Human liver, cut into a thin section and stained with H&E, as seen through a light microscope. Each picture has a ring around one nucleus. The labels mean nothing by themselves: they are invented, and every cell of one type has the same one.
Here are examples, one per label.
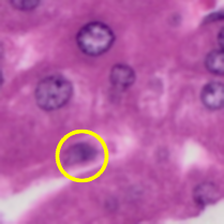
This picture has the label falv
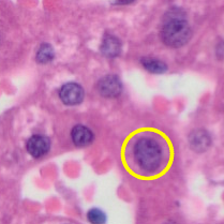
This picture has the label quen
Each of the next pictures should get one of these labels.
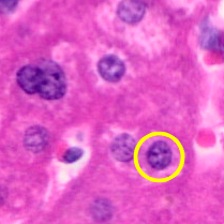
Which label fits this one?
quen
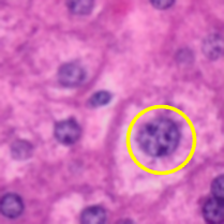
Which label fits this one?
quen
